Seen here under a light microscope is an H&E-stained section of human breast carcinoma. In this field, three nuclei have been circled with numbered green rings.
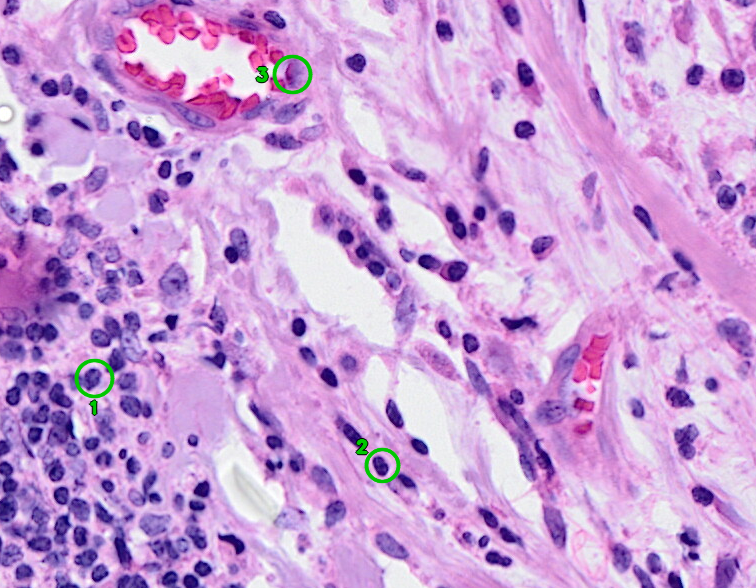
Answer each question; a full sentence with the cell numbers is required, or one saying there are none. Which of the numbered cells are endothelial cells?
Cell 3 is an endothelial cell, and that holds for no other numbered cell.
